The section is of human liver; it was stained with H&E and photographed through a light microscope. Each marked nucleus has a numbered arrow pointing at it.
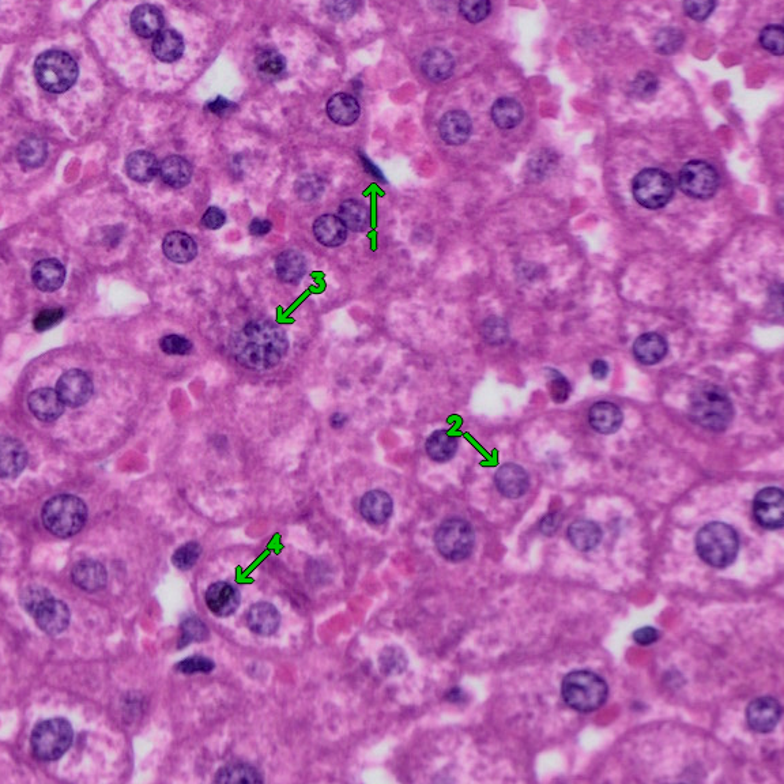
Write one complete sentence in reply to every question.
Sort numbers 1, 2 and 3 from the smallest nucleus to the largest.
By area, going up from the smallest, they rank 1, 2, 3.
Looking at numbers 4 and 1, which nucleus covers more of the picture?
Number 4 is larger; its area is about 2.5 times that of number 1.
